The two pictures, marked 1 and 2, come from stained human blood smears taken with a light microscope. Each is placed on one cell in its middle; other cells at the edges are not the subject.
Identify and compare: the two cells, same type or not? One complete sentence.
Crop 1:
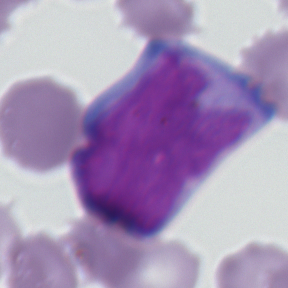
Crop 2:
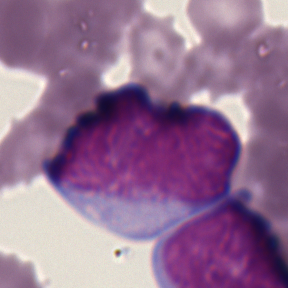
Yes, both crops show blasts, each crop centred on one of them.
